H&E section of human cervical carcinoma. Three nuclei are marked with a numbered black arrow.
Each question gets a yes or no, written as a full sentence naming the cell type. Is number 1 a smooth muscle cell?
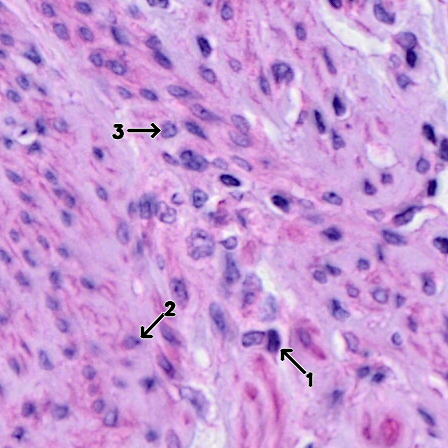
No, cell 1 counts as a lymphocyte rather than as a smooth muscle cell.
